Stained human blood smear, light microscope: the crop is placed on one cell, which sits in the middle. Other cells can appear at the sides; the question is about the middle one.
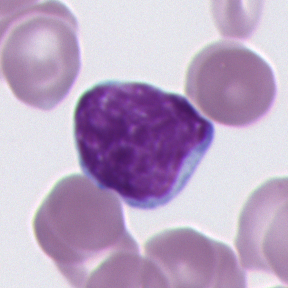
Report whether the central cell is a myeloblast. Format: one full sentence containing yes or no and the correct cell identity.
Yes, the cell at the centre of this crop is identified as a myeloblast.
